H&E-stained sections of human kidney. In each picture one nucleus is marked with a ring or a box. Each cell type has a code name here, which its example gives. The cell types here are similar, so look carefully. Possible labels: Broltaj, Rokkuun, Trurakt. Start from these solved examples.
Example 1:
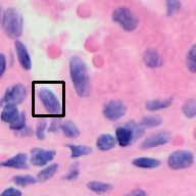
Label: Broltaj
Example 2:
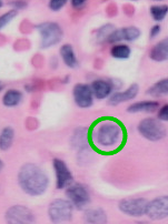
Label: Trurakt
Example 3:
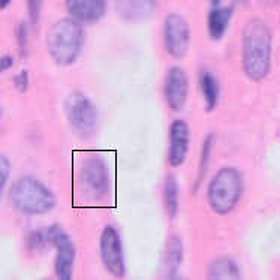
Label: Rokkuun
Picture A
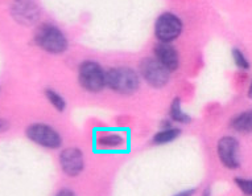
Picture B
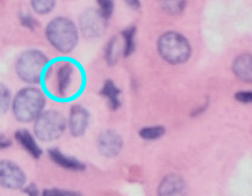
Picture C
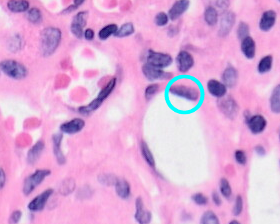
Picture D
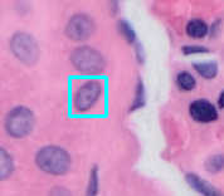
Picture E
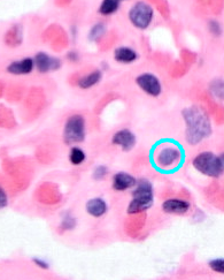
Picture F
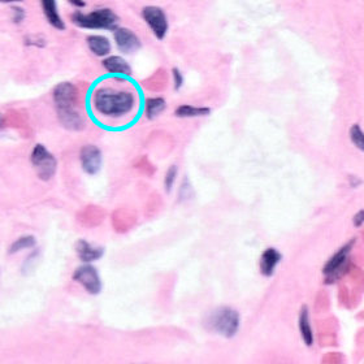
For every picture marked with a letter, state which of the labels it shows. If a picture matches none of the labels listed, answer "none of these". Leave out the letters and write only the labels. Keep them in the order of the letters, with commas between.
Broltaj, Trurakt, Broltaj, none of these, Broltaj, Broltaj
